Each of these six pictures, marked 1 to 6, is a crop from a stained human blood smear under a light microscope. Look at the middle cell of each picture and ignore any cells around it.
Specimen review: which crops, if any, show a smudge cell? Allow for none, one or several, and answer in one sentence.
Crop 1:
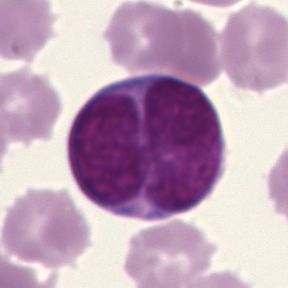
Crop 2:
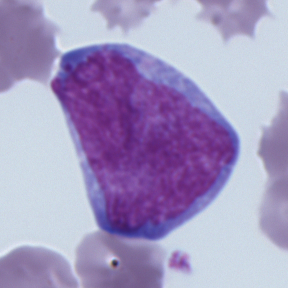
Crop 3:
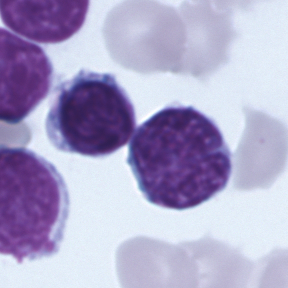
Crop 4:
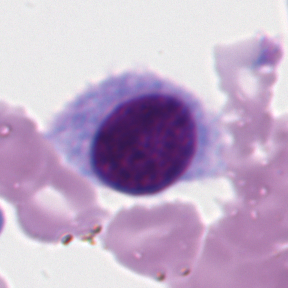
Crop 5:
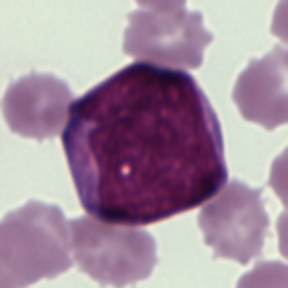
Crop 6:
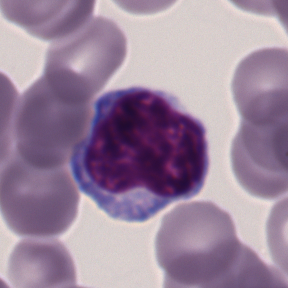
None of the crops in this set shows a smudge cell.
